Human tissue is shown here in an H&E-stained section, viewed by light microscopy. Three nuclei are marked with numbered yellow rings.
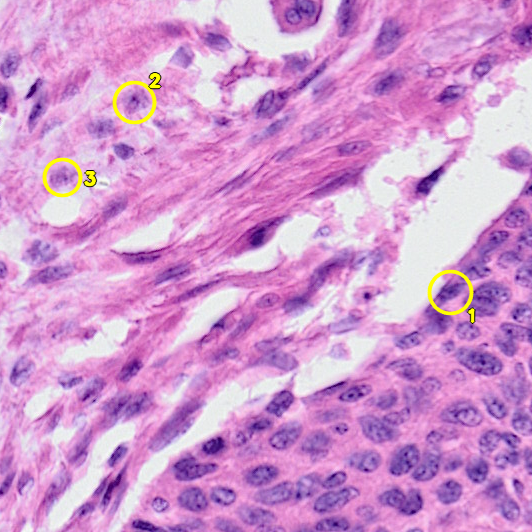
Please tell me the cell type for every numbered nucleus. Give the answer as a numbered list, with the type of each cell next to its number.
1. squamous carcinoma cell
2. fibroblast
3. fibroblast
